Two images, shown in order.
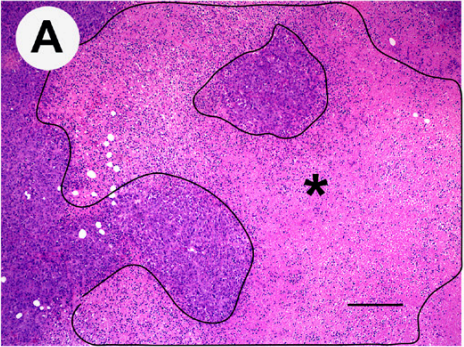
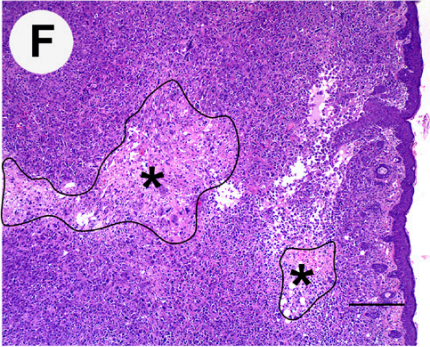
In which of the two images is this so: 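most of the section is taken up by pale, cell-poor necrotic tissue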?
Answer: The first image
